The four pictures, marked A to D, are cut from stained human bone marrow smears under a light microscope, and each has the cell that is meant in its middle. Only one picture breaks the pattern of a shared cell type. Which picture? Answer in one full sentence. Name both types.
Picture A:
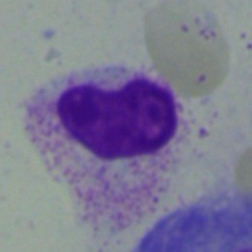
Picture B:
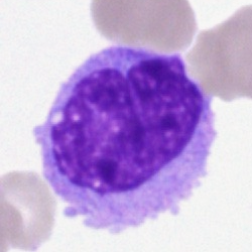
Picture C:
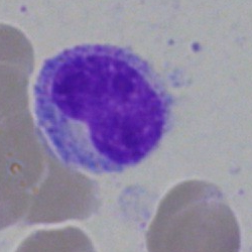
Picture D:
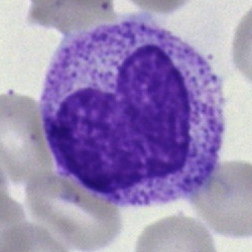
The others show metamyelocytes, but picture B shows a monocyte.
